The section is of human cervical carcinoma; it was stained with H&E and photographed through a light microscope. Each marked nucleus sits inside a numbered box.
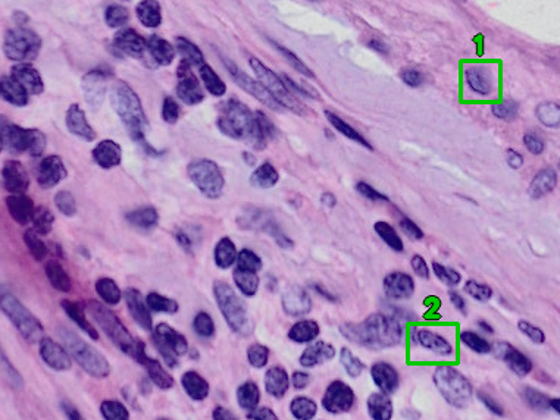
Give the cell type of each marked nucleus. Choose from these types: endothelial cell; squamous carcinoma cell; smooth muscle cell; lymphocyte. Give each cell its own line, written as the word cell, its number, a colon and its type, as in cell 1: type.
cell 1: smooth muscle cell
cell 2: lymphocyte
